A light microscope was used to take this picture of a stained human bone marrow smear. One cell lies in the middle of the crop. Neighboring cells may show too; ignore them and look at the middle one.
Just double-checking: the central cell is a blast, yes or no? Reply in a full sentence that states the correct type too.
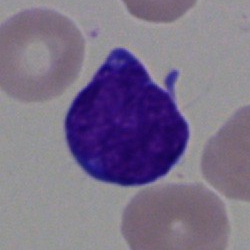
Yes, the cell that is in the middle is a blast.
